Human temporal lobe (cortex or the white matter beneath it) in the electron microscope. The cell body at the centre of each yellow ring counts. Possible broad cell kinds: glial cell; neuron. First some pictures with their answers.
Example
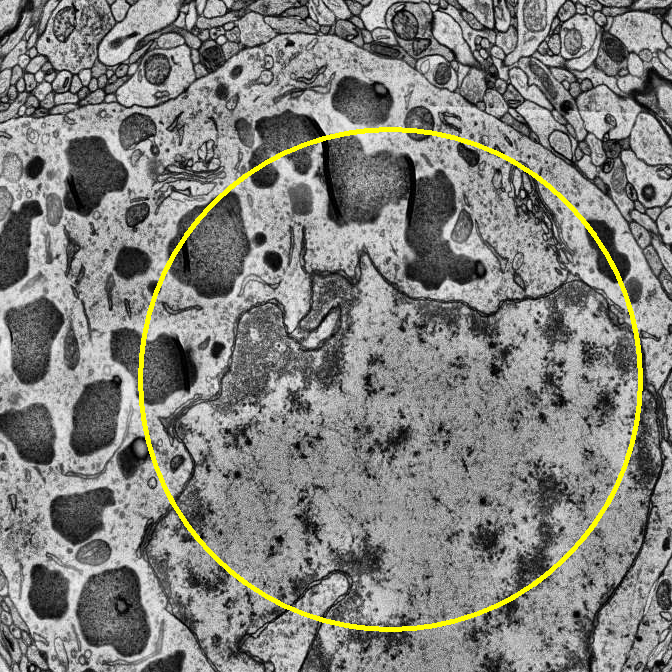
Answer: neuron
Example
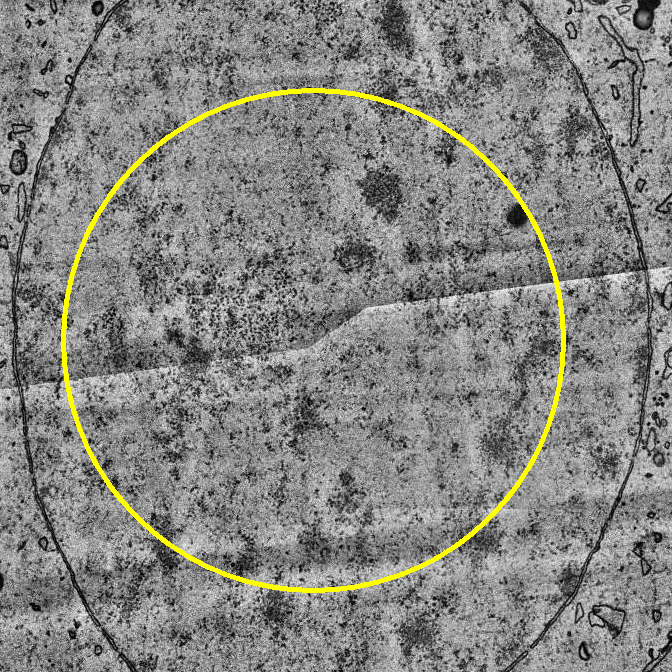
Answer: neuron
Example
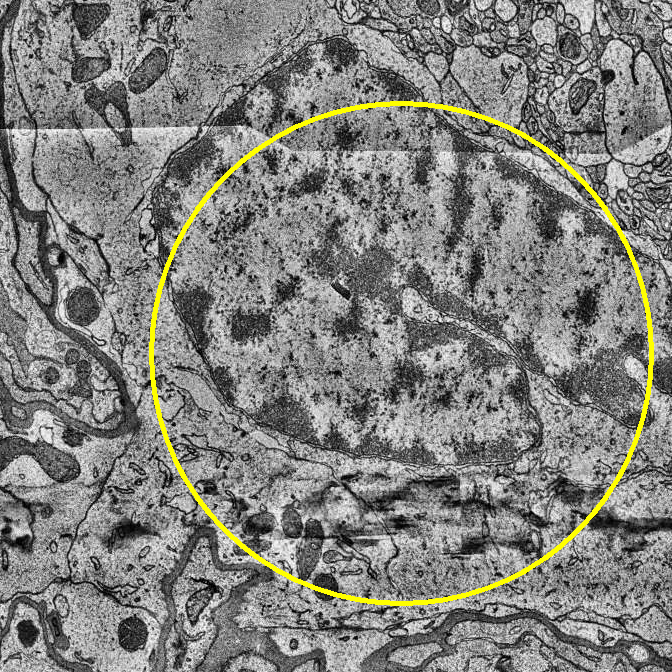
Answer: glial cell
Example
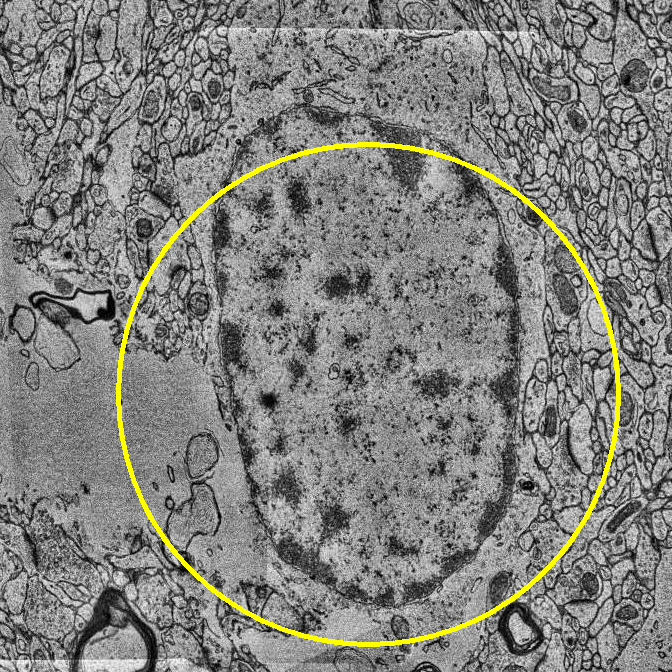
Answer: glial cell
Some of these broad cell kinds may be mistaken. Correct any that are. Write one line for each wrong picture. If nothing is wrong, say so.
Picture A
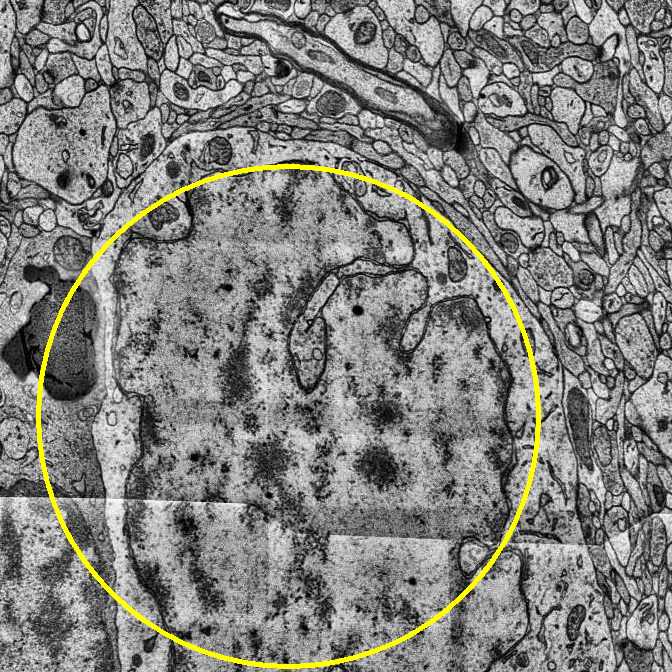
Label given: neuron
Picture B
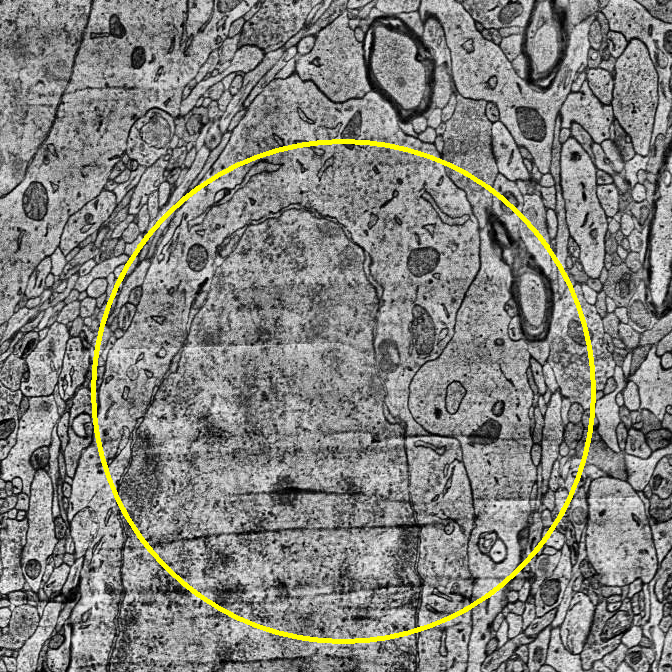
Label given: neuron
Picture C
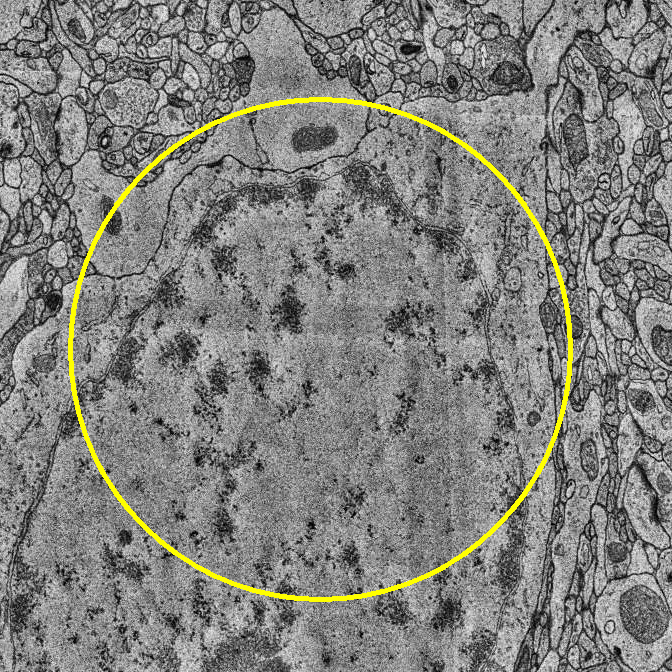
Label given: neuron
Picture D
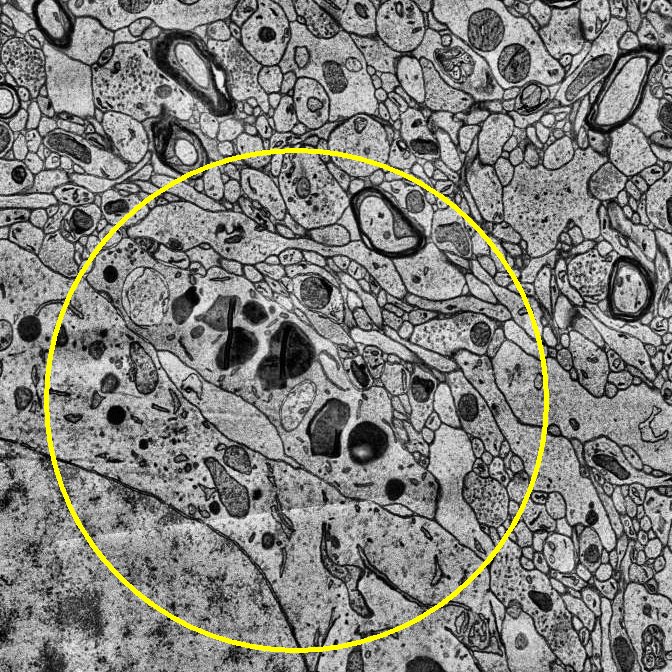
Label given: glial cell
No label is wrong.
